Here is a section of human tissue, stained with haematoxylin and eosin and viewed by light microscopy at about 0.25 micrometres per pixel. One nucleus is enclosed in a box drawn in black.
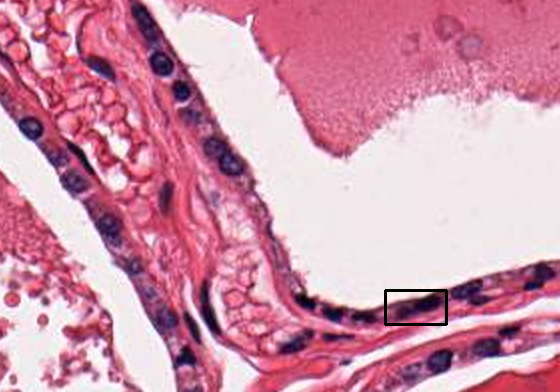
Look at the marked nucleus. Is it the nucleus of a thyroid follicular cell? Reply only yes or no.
yes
